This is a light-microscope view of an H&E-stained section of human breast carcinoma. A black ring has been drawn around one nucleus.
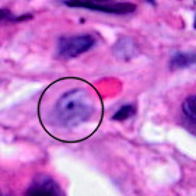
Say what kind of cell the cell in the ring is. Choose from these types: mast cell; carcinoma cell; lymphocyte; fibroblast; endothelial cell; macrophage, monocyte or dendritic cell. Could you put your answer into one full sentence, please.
Cell type answer for this item: the cell in the ring is an endothelial cell.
